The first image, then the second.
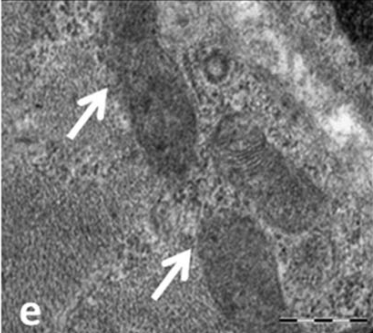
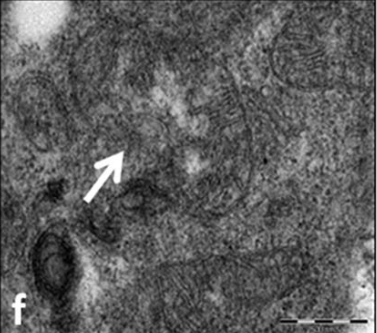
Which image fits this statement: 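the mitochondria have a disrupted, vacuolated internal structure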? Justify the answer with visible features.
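Second image: the organelle at the arrow is pale and irregular, with clear spaces and no neat outline. First image: the mitochondria are compact dense ovals with smooth outlines. On this evidence: the second image.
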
